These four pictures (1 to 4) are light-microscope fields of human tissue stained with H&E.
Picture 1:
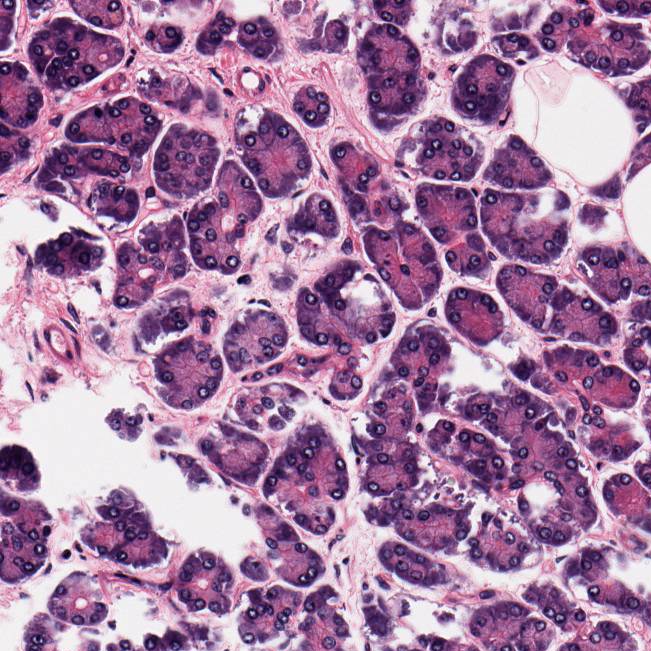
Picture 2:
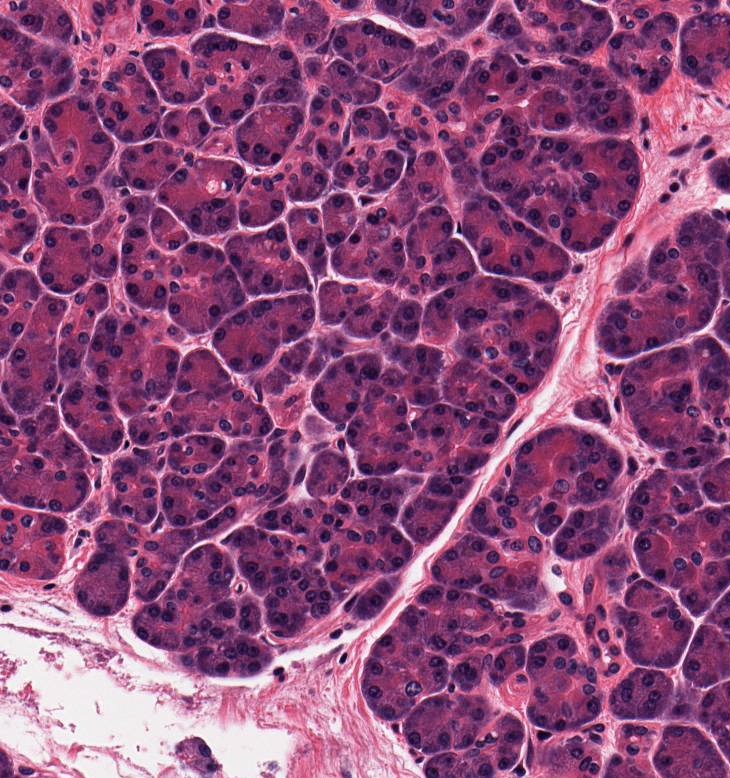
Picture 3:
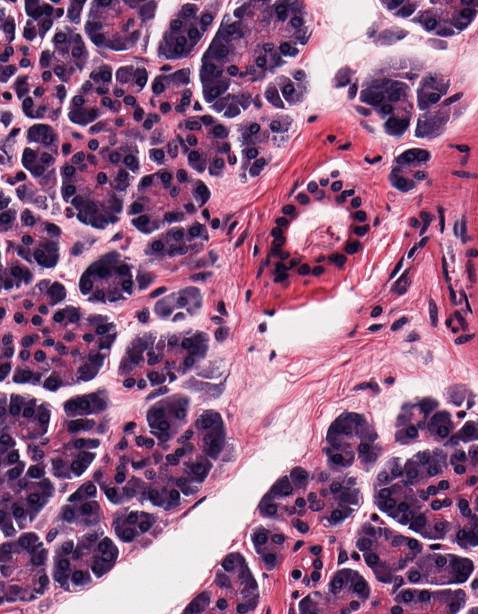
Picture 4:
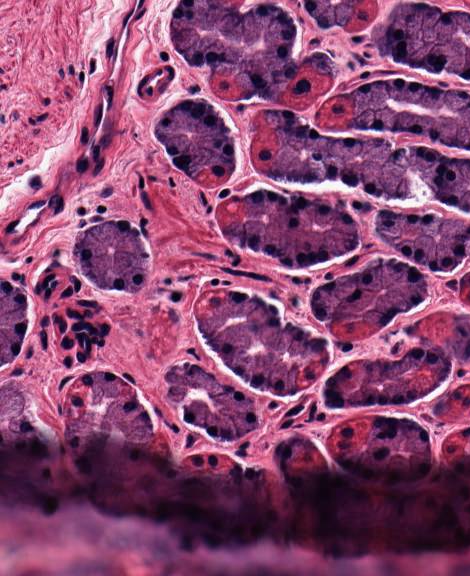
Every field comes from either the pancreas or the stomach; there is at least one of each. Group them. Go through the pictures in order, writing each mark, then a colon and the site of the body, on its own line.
1: pancreas
2: pancreas
3: pancreas
4: stomach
